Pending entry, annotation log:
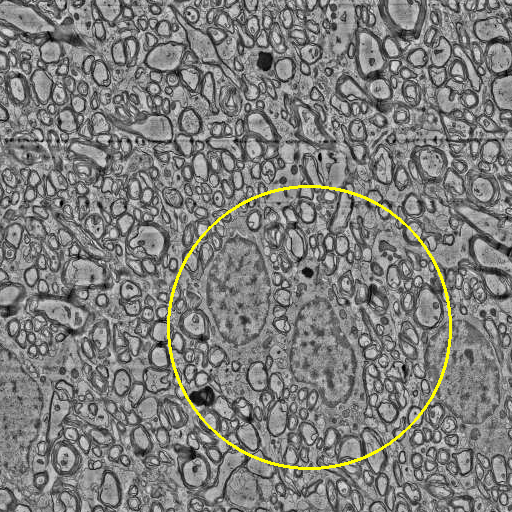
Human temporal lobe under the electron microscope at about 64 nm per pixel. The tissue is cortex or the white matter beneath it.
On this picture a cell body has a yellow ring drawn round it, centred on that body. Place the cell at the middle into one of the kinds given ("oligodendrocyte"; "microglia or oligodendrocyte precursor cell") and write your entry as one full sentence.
The cell body at the middle of the yellow ring belongs to an oligodendrocyte.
